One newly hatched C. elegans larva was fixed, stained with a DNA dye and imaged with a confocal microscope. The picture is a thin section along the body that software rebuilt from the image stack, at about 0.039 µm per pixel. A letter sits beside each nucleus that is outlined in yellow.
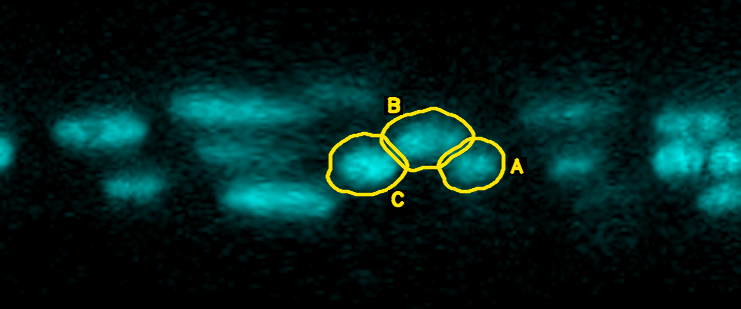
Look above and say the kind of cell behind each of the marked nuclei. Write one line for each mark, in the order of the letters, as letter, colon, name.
A: neuron
B: body wall muscle cell
C: neuron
